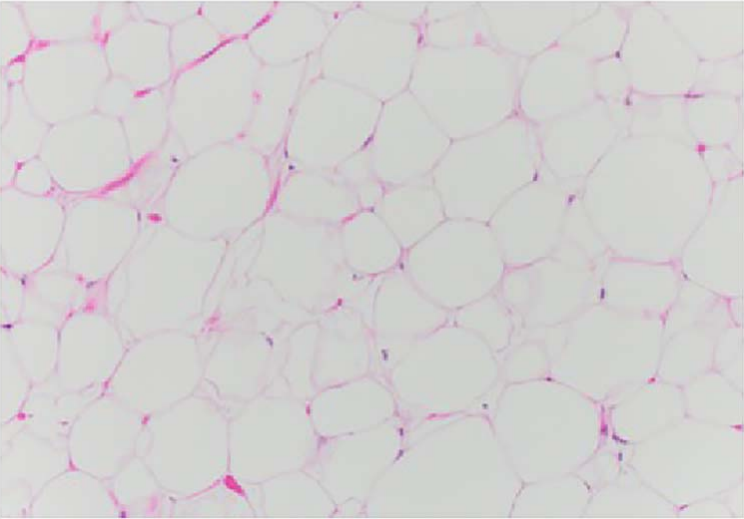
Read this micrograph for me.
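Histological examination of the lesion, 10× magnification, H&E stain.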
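This field is filled almost entirely by mature adipose cells packed side by side in sheets. The cells are bounded by very thin pink rims of cytoplasm and membrane, so the tissue resembles a fine honeycomb. Nuclei are few, small, flattened and dark purple, squeezed against the edge of the cells.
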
